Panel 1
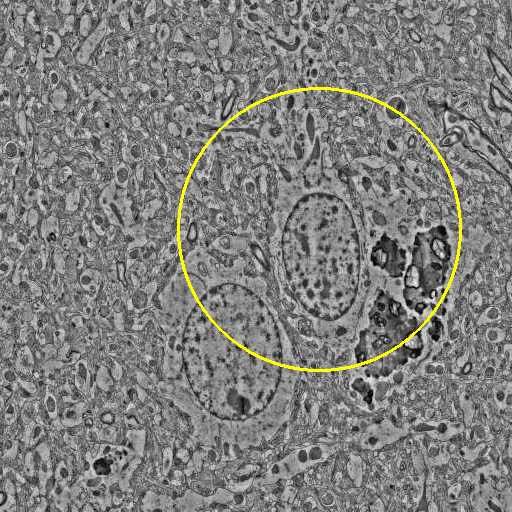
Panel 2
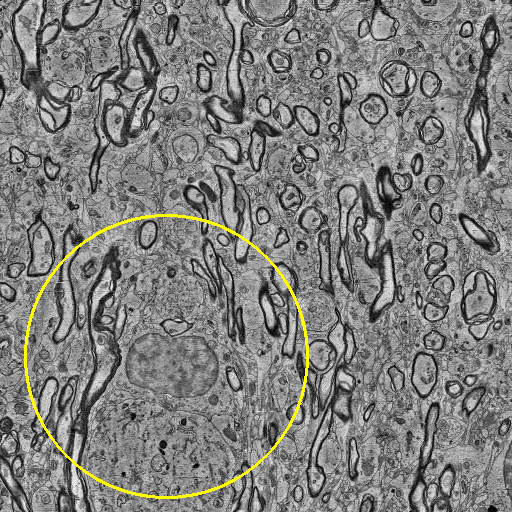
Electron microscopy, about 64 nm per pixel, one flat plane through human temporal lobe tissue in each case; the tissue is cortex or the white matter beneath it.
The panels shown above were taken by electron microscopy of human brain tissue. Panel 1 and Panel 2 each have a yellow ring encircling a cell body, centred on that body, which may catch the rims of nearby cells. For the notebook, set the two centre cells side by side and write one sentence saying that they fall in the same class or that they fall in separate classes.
The centred cells of Panel 1 and Panel 2 fall in separate classes.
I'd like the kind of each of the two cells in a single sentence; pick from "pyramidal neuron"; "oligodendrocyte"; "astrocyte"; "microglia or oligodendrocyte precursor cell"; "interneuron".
The first ring marks an astrocyte, and the second ring marks an oligodendrocyte.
